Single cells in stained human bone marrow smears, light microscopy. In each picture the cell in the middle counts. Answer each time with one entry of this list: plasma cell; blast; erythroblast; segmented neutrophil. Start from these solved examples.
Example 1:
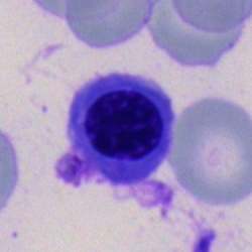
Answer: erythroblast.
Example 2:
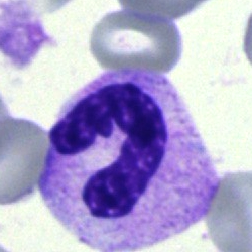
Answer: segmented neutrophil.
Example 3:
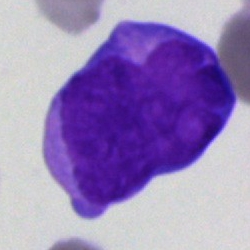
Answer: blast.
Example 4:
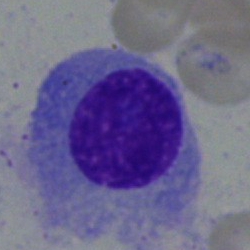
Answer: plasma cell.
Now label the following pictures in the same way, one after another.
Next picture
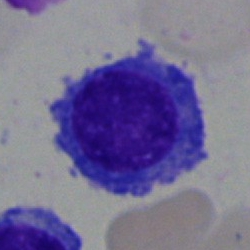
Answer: plasma cell.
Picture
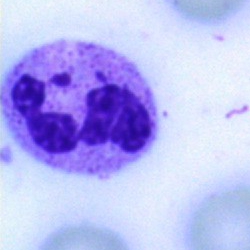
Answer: segmented neutrophil.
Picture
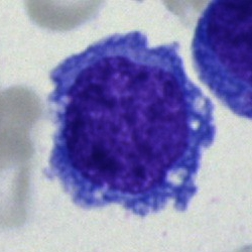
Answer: blast.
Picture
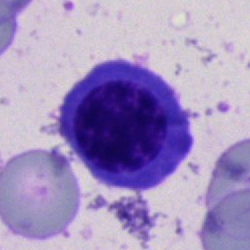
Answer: erythroblast.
